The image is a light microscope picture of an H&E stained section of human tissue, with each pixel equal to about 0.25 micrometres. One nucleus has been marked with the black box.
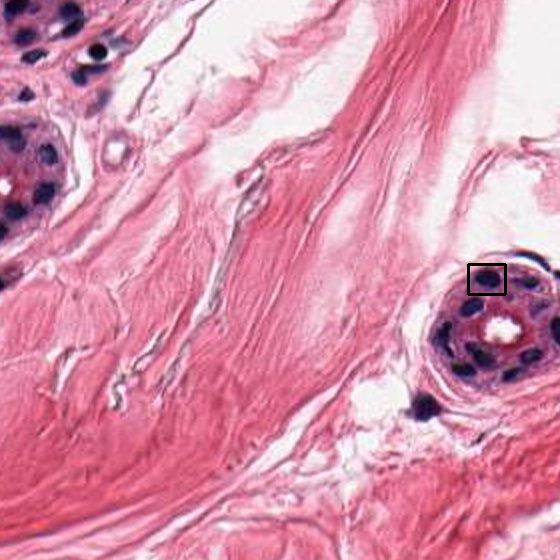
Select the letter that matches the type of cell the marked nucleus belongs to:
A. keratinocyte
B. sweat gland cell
B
